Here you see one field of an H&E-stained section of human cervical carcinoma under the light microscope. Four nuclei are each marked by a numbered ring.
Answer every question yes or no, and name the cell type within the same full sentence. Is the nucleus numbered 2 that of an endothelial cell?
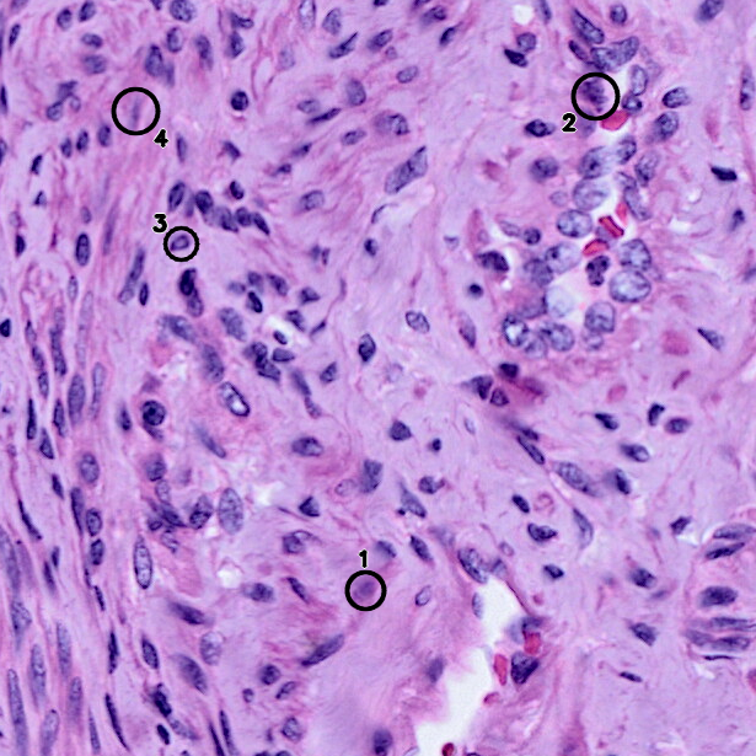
Yes, cell number 2 is classified as an endothelial cell.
